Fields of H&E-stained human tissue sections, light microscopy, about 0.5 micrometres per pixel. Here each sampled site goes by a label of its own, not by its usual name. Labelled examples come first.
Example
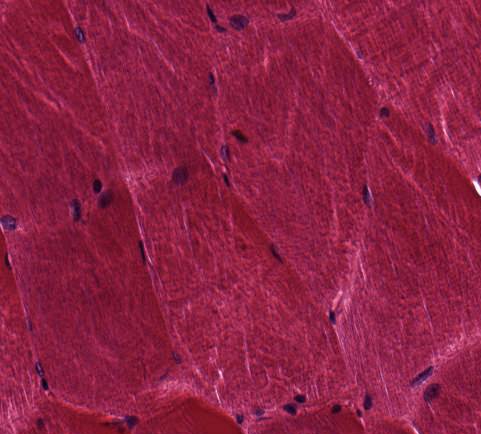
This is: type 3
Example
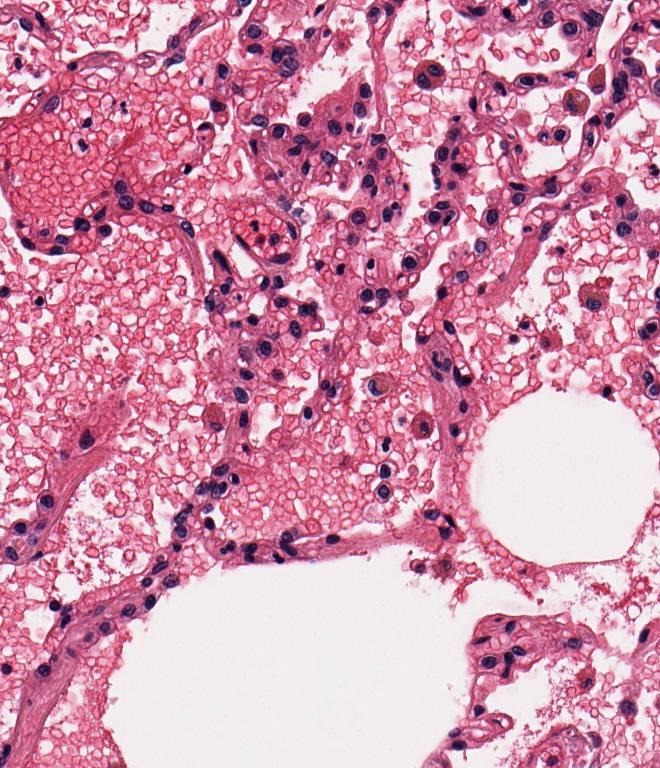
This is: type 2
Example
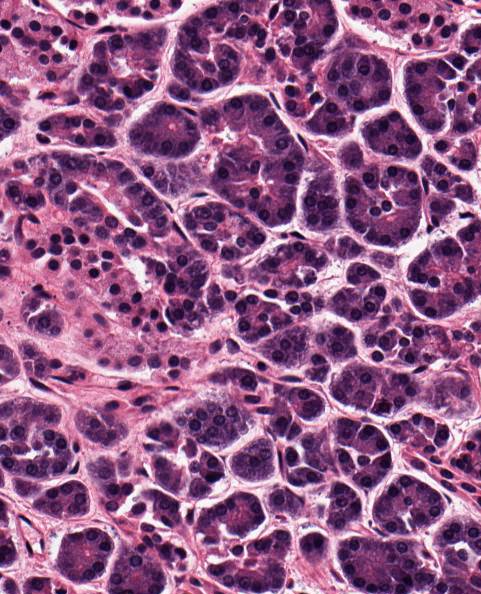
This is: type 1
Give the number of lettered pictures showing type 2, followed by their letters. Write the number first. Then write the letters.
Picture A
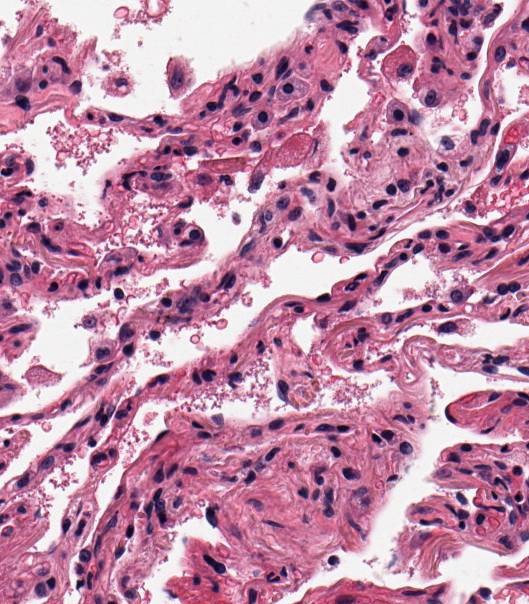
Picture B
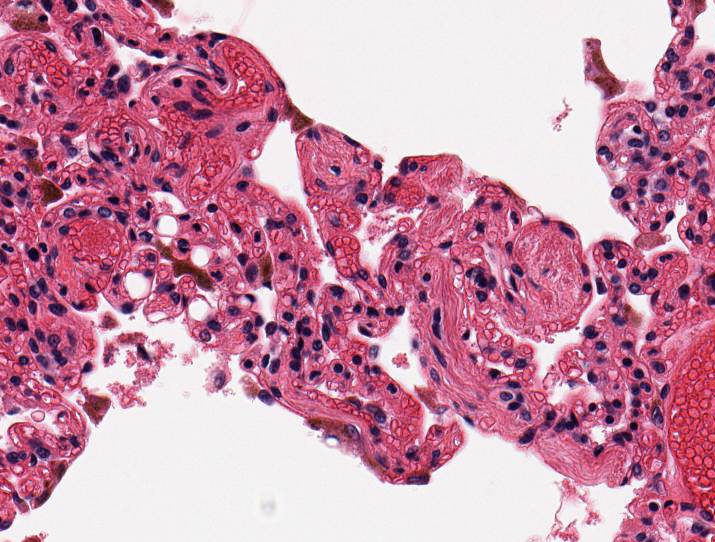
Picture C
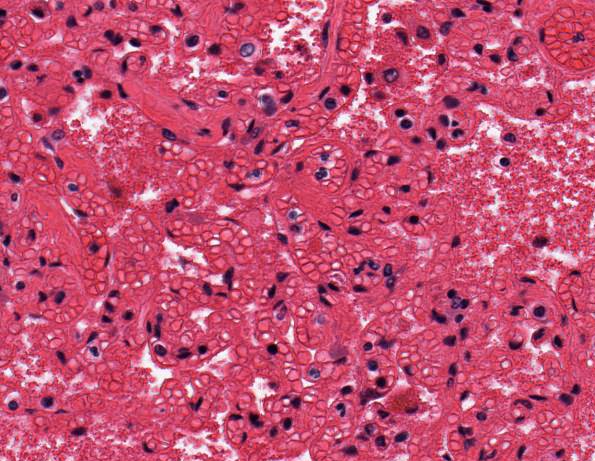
3, namely A, B, C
